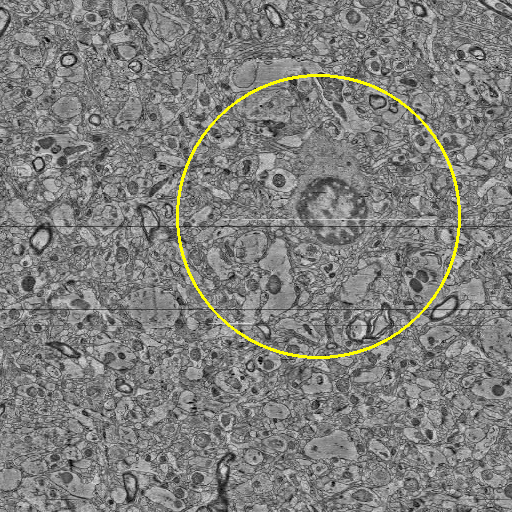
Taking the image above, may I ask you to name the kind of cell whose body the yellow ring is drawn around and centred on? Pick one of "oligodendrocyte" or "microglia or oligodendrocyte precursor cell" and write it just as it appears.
oligodendrocyte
